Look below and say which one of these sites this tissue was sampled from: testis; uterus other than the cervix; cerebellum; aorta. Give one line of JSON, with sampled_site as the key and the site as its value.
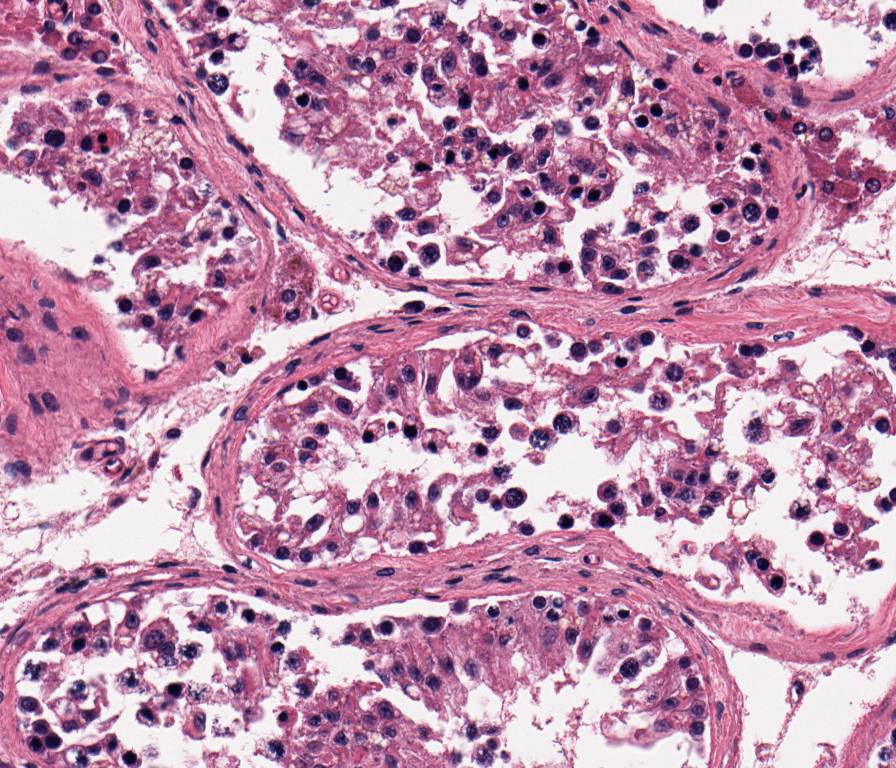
{"sampled_site": "testis"}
